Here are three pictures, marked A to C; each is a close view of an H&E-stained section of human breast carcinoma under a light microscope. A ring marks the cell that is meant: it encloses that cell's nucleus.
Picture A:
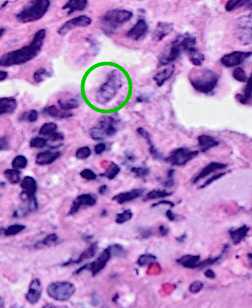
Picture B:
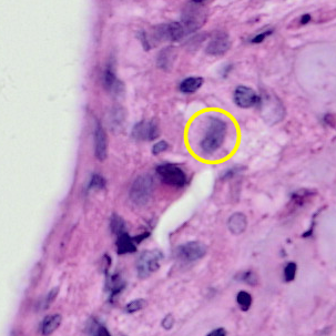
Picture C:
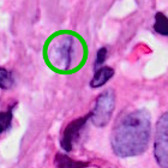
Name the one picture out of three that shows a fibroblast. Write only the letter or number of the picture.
C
